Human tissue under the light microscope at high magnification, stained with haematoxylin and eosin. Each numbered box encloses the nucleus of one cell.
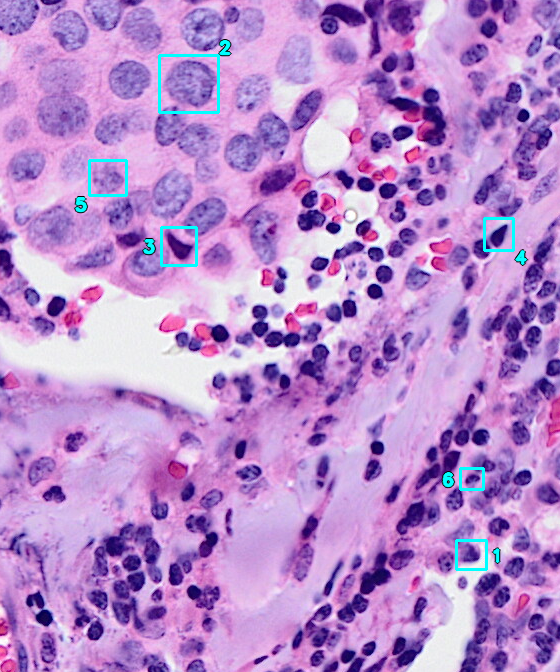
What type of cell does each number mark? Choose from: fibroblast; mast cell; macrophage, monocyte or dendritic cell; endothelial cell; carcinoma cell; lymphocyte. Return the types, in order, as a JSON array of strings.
["lymphocyte", "carcinoma cell", "carcinoma cell", "lymphocyte", "carcinoma cell", "lymphocyte"]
